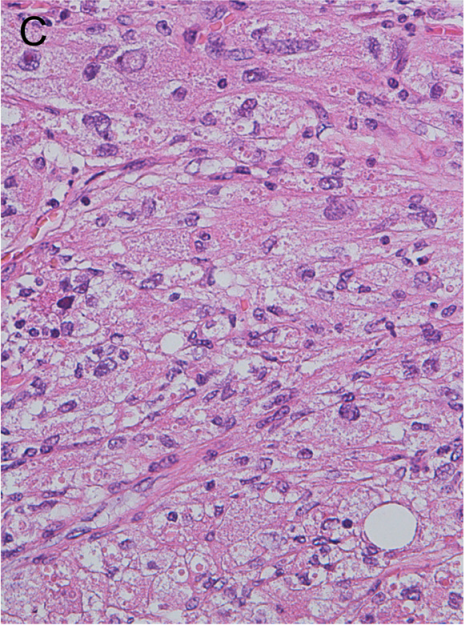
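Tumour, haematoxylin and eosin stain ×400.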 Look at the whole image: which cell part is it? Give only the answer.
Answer: Clear vacuolated cytoplasms.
